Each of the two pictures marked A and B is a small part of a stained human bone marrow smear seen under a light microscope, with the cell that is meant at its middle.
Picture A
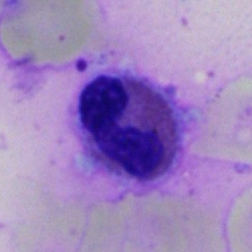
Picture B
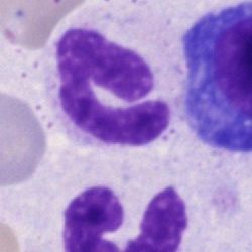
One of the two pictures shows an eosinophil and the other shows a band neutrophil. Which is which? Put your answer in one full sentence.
Picture B shows a band neutrophil, while picture A shows an eosinophil.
